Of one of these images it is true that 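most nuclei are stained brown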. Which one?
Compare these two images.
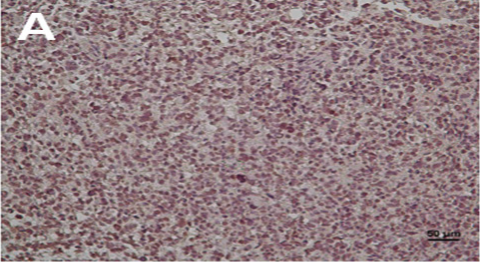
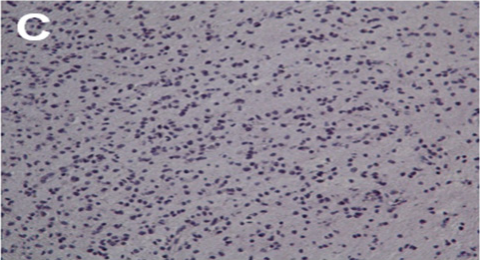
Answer: The first image.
